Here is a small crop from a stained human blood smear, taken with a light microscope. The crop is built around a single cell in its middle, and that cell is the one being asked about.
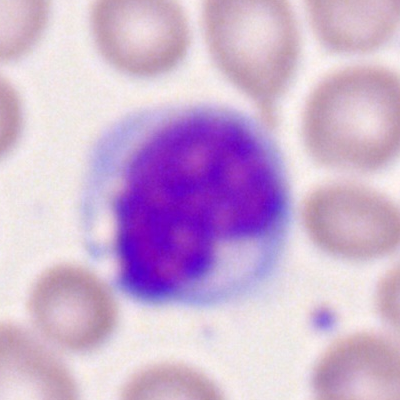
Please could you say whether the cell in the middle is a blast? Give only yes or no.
no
